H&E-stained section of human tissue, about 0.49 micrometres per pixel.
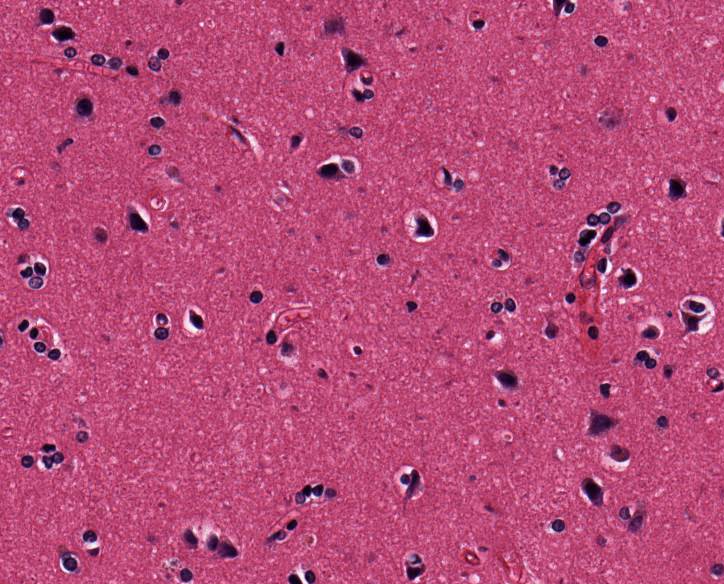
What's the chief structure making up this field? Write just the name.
cerebral cortex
